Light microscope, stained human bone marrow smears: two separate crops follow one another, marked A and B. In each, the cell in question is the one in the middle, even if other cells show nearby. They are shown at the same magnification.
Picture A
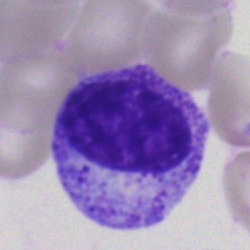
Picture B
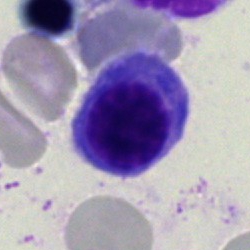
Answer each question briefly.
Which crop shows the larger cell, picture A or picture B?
A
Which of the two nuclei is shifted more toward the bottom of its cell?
B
